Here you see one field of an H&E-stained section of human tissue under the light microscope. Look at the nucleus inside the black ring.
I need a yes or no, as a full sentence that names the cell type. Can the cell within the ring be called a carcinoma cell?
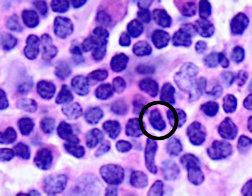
No, instead of a carcinoma cell, the cell within the ring is a lymphocyte.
